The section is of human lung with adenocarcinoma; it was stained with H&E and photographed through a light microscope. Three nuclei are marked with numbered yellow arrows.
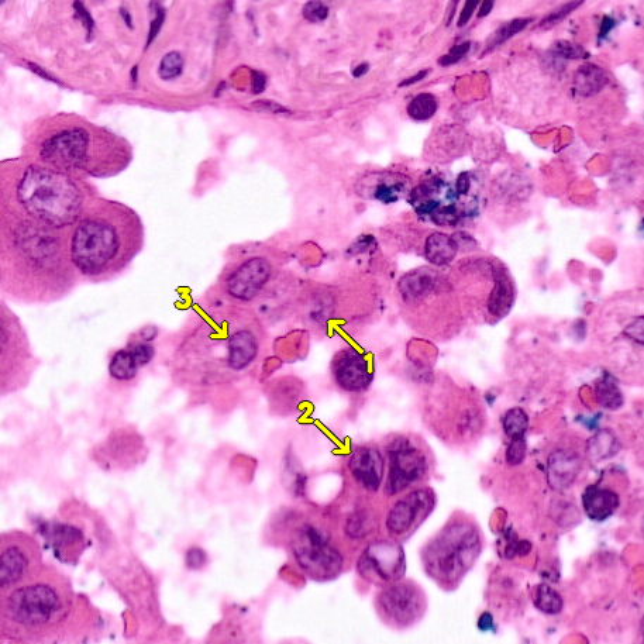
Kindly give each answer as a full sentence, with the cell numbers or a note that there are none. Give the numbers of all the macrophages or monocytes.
In terms of cell type, cells 1 and 3 are macrophages or monocytes.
